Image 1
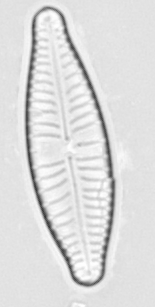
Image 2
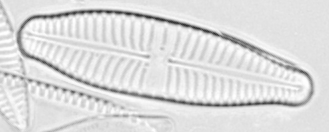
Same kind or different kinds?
Same: Gomphonema.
